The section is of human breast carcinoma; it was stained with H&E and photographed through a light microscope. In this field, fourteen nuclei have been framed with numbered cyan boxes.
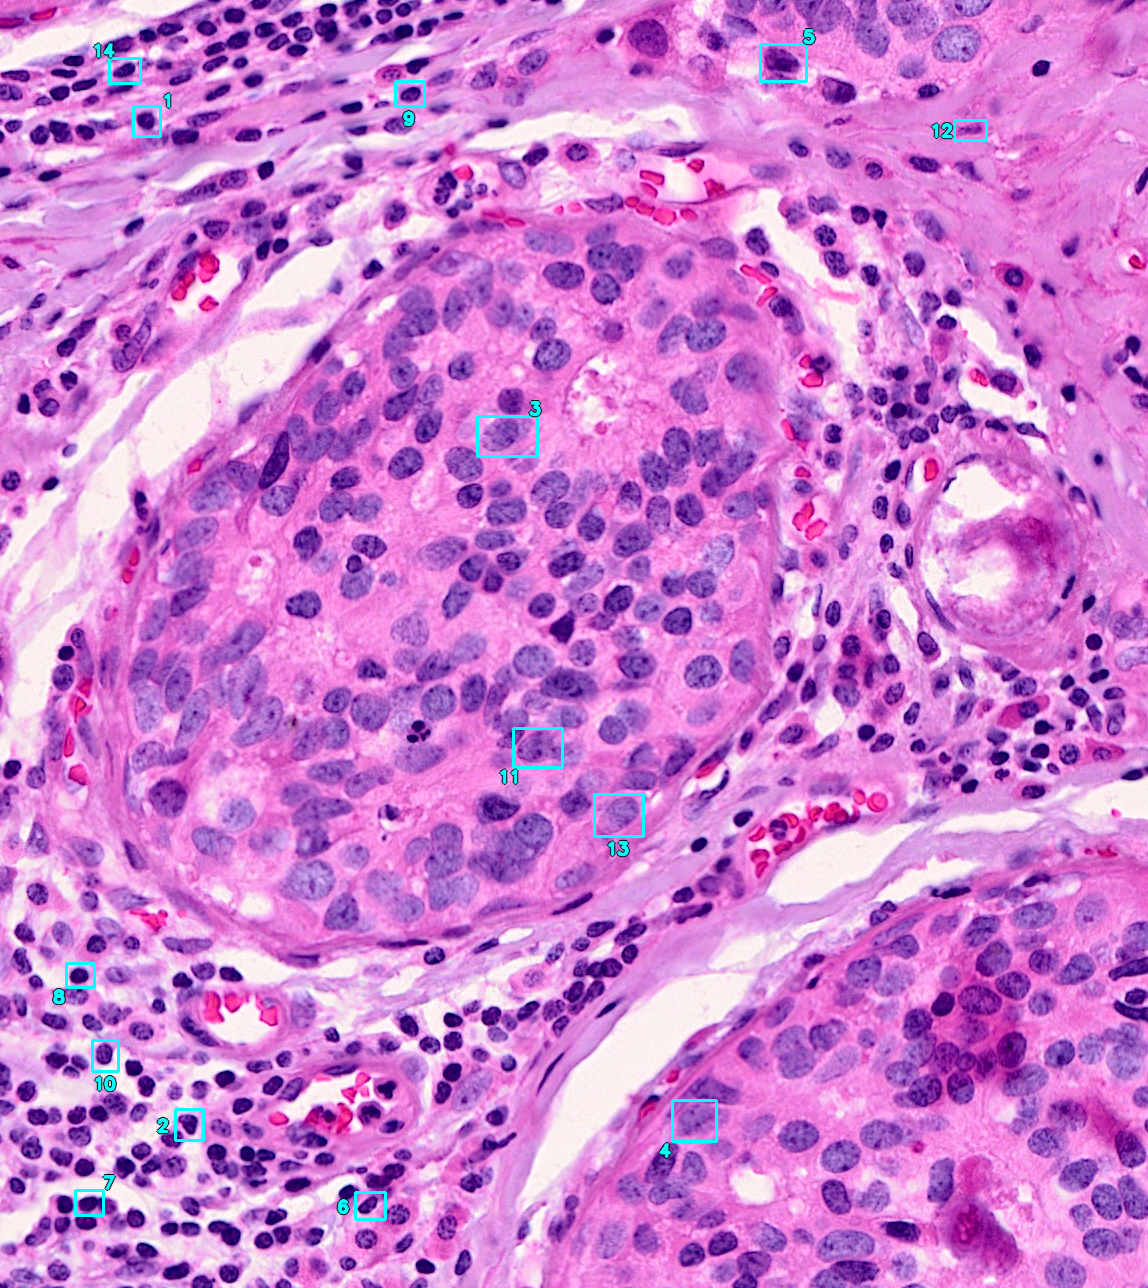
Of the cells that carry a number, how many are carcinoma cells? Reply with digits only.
5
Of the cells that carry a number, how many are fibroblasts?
1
